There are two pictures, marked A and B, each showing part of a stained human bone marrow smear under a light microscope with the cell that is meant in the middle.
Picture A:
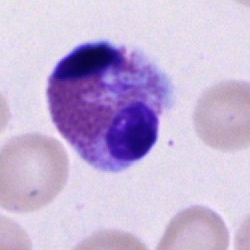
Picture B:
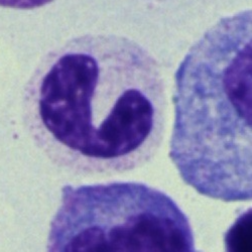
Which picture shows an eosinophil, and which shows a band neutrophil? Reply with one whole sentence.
In picture A the cell is an eosinophil; in picture B, a band neutrophil.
